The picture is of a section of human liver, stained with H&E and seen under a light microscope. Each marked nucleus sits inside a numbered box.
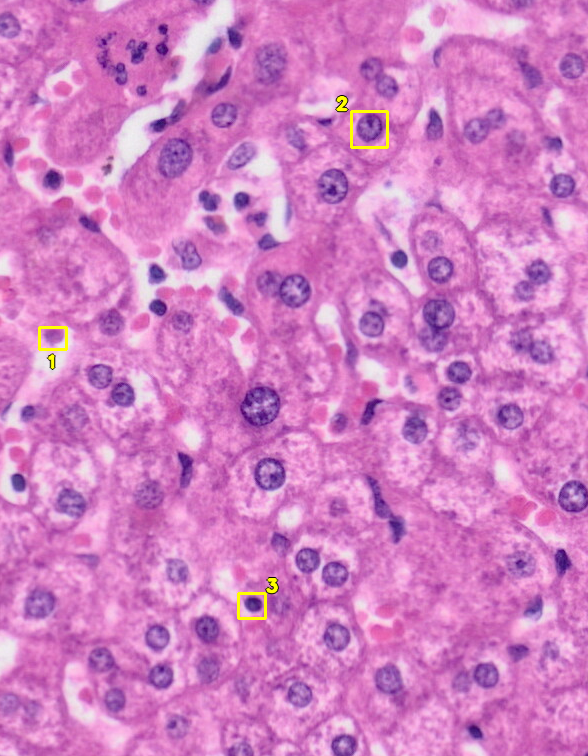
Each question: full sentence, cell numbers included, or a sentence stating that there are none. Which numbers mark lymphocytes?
Among all the marked cells, a lymphocyte is found only at number 3.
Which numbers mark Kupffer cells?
Cell 1 is a Kupffer cell; no further numbered cell is.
